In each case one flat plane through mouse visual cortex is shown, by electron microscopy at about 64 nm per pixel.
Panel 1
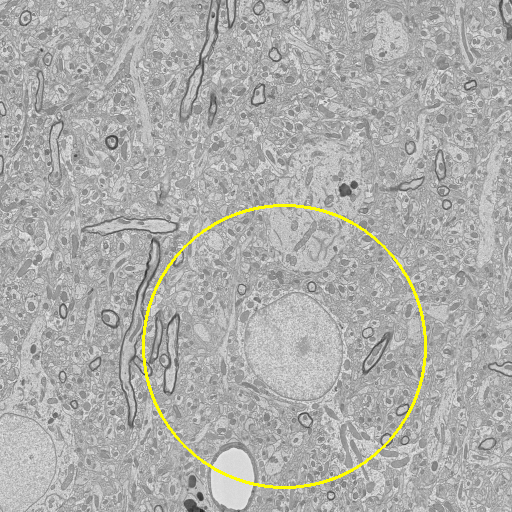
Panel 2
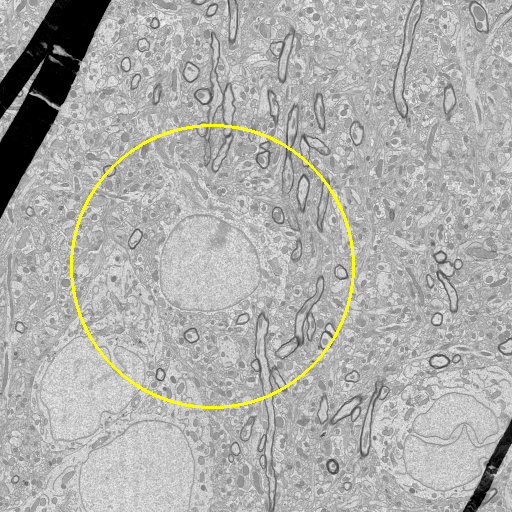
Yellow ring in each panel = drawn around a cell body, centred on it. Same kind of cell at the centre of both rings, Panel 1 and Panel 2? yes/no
yes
